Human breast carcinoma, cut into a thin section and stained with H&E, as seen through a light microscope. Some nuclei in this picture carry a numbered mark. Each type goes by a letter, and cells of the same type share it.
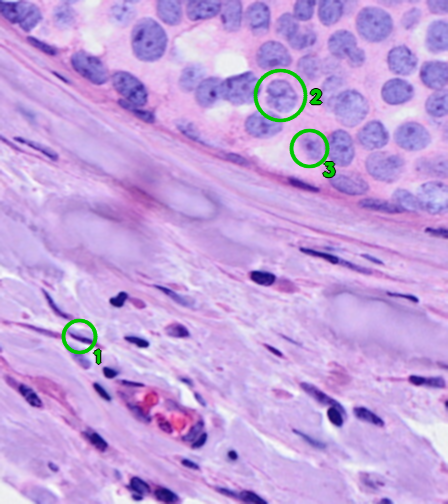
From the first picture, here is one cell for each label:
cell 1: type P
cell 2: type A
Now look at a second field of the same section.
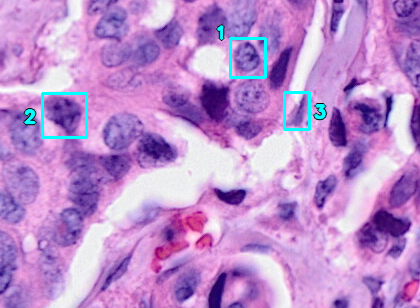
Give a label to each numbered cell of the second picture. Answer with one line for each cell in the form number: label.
1: type A
2: type A
3: type P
